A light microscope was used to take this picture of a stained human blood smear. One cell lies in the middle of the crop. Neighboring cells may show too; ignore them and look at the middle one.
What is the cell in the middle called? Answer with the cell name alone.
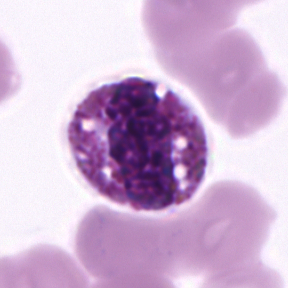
eosinophil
